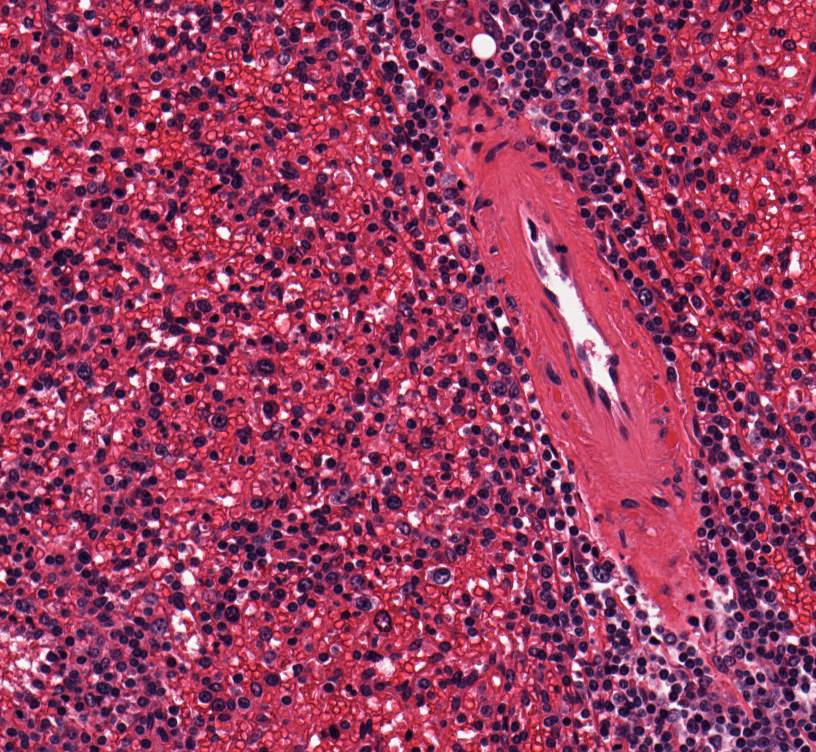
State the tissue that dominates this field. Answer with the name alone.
red pulp of the spleen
